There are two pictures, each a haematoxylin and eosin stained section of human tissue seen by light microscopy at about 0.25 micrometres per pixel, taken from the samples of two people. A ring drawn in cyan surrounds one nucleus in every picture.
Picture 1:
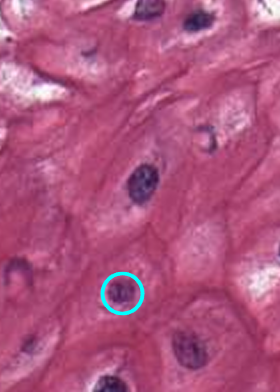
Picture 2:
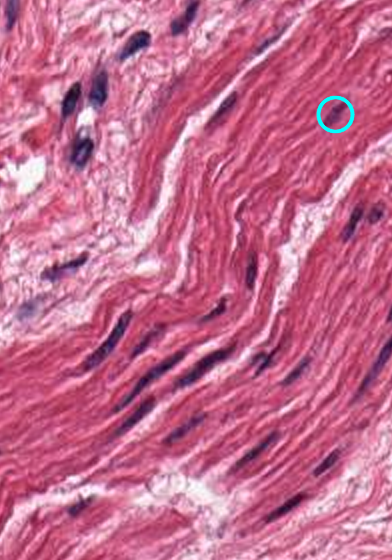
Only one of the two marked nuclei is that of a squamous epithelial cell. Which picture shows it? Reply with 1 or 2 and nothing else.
1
